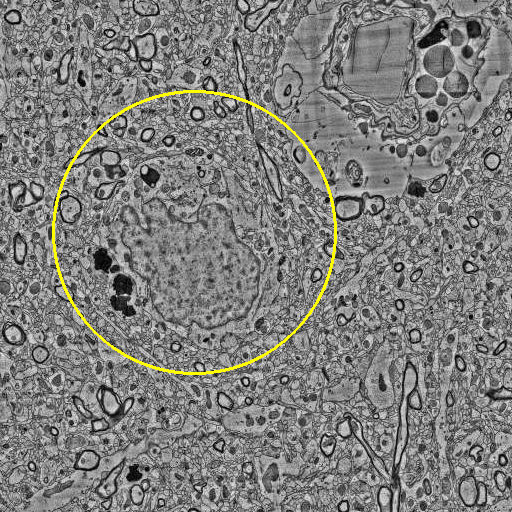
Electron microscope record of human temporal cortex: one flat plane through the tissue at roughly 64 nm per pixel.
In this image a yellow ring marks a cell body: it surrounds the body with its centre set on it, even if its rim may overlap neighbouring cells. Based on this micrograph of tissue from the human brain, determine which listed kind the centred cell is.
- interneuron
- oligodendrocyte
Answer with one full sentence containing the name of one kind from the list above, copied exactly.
It is an interneuron whose body the yellow ring encloses at its centre.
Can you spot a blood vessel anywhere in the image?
Yes.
